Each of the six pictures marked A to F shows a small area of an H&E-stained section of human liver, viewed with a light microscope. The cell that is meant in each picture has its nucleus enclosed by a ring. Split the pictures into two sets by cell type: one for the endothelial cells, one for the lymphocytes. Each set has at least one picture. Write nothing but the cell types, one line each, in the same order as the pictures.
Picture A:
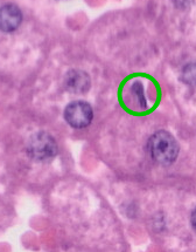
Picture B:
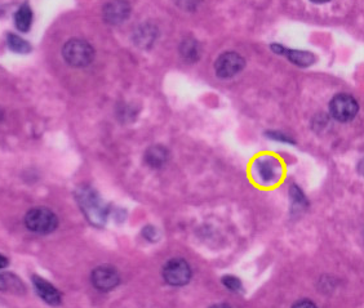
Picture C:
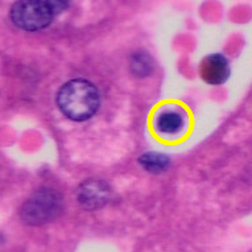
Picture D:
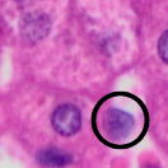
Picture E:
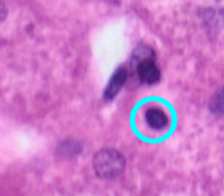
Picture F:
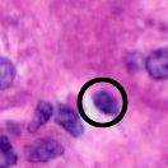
endothelial cell
lymphocyte
lymphocyte
endothelial cell
lymphocyte
lymphocyte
